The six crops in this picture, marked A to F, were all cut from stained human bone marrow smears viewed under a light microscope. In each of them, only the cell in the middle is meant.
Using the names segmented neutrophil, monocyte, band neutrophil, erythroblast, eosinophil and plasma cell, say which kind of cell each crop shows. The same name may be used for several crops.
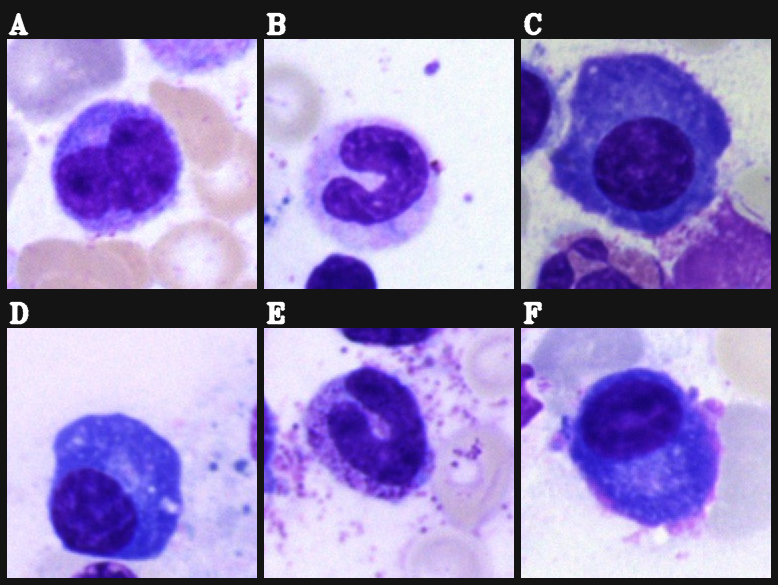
A: monocyte
B: band neutrophil
C: plasma cell
D: plasma cell
E: band neutrophil
F: plasma cell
